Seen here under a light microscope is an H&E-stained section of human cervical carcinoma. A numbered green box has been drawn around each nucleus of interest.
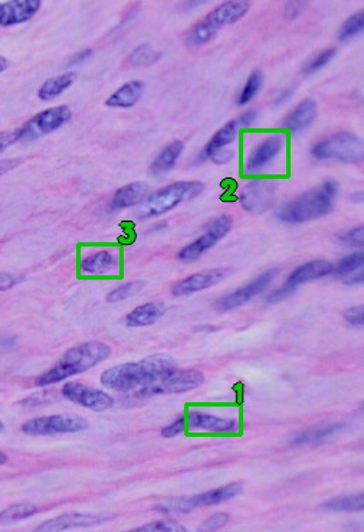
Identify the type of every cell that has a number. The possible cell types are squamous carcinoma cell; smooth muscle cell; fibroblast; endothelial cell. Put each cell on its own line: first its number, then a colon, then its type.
1: smooth muscle cell
2: fibroblast
3: smooth muscle cell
